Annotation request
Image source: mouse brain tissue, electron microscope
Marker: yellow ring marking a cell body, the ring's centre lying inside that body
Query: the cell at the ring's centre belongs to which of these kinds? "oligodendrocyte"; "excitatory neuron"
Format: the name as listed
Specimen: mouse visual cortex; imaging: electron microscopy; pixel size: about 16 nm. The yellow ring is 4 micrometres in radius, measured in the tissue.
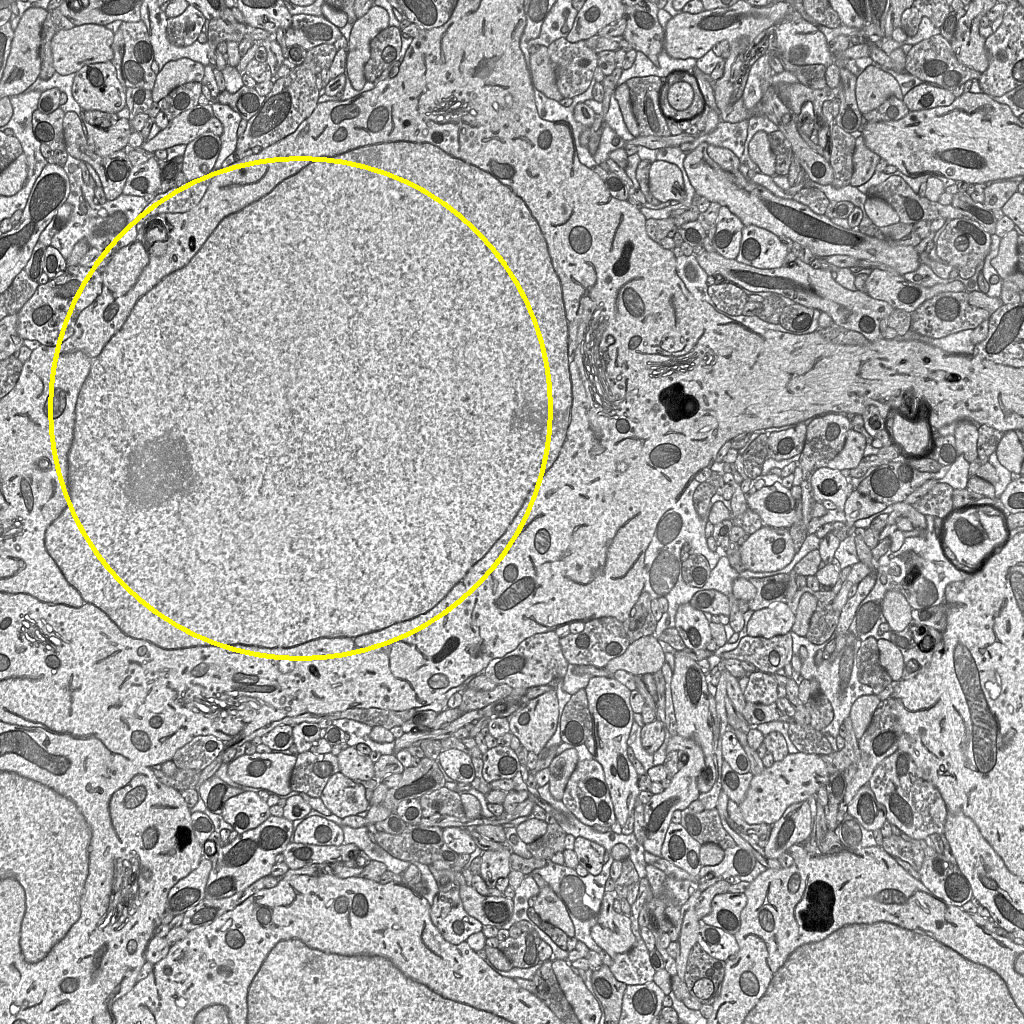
excitatory neuron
